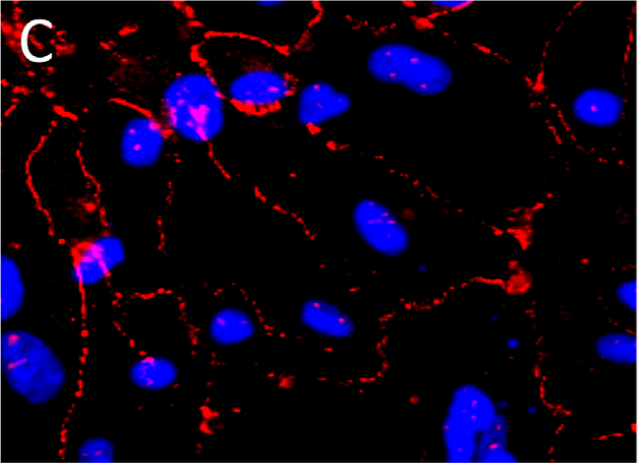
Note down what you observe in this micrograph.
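Many borders have gaps, so the outlines of single cells are no longer closed. Small red clumps sit at some corners and beside a few nuclei. The oval blue nuclei look much as usual, each with a few small brighter dots.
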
